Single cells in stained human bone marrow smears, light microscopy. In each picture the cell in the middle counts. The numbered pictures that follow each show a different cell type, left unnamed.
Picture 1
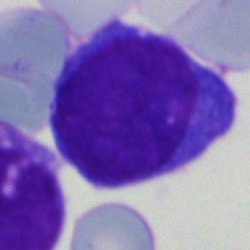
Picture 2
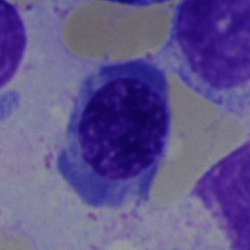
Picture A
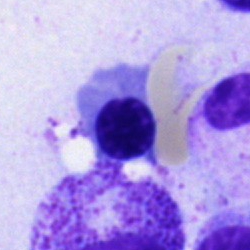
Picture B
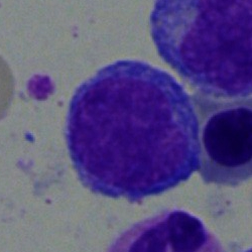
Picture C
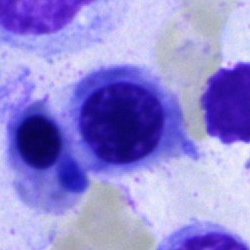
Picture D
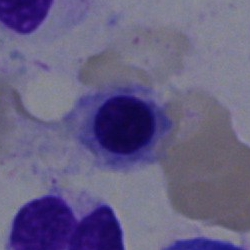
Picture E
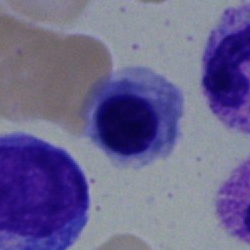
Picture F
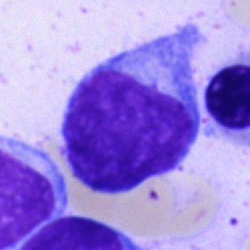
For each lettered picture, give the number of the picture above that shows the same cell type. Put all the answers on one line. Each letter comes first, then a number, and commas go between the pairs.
A 2, B 1, C 2, D 2, E 2, F 1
